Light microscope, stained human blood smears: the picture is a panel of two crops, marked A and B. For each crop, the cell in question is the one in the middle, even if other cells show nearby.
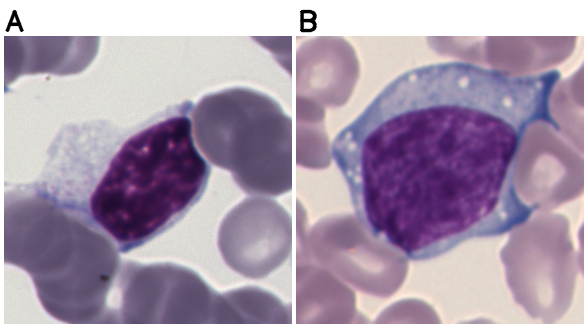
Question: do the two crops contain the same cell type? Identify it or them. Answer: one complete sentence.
No, record crop A as a typical lymphocyte and crop B as a myeloblast.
